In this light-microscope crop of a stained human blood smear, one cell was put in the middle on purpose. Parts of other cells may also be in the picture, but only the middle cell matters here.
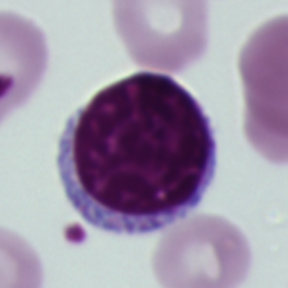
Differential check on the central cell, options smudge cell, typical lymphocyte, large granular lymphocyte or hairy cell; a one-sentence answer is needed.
The crop shows a typical lymphocyte in its centre.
